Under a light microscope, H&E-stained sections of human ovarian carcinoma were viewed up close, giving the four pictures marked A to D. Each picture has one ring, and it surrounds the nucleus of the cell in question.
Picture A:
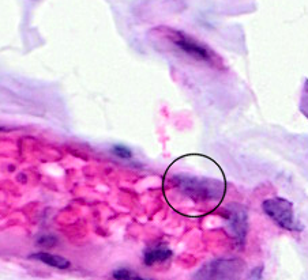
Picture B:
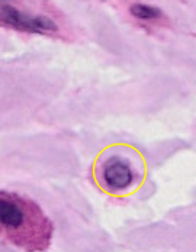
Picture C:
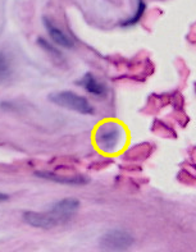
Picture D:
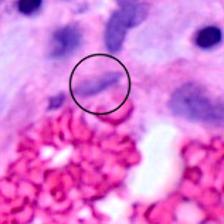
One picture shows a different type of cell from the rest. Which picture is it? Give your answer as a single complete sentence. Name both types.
The others show endothelial cells, but picture B shows a “macrophage or monocyte”.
